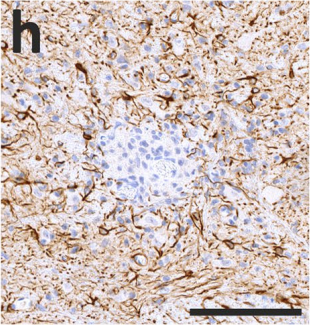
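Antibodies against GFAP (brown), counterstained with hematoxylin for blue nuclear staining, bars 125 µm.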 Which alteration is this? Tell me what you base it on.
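Brown star-shaped cells with fine branching processes fill the surrounding tissue. A roughly round central area around a vessel lacks brown process-bearing cells. The central area contains only blue nuclei.
Answer: astrocyte-destructive lesions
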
